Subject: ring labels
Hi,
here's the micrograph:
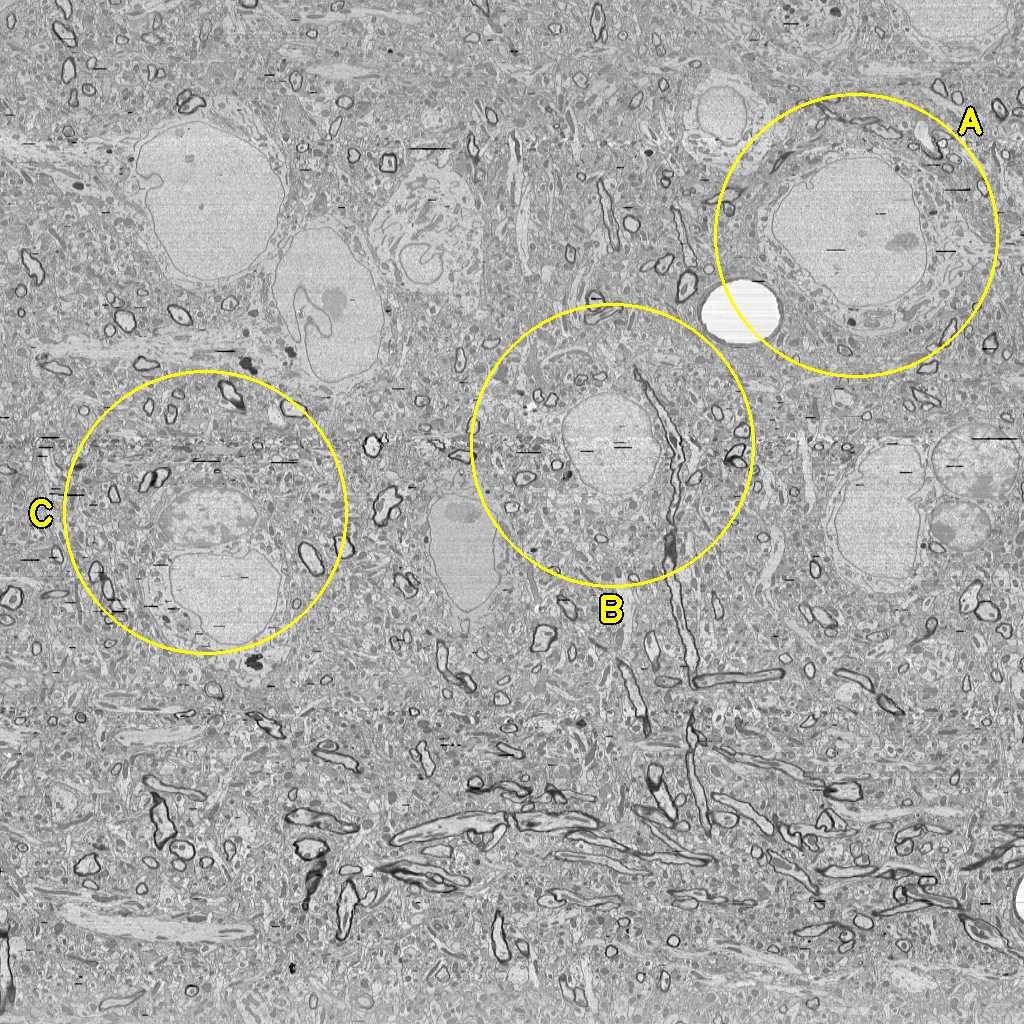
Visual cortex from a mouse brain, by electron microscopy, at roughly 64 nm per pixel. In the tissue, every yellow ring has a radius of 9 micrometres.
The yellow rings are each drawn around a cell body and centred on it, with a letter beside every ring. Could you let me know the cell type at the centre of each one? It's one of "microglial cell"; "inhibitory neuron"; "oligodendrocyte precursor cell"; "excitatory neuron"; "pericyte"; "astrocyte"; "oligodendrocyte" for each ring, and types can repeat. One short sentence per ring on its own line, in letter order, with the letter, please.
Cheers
The type at the centre of ring A is an excitatory neuron.
The type at the centre of ring B is an astrocyte.
The type at the centre of ring C is an oligodendrocyte.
